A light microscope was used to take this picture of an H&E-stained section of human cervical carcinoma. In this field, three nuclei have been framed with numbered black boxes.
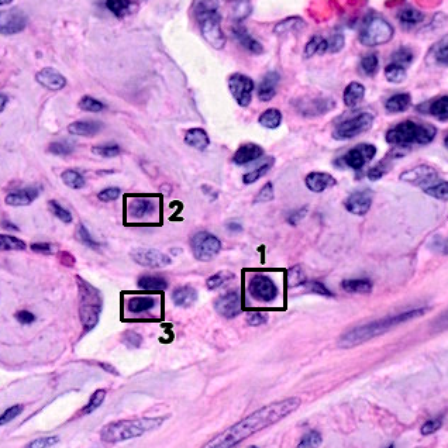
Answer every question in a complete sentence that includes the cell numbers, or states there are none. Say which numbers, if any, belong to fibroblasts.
No numbered cell here qualifies as one of the fibroblasts.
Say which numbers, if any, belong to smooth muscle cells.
Only nucleus 2 belongs to a smooth muscle cell; the other numbered nuclei do not.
